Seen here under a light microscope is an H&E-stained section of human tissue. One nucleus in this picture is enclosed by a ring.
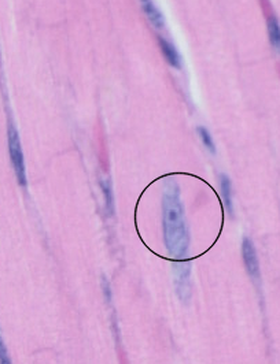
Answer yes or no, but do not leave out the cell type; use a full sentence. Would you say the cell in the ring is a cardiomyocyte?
Yes, the classification of the cell in the ring as a cardiomyocyte is accurate.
